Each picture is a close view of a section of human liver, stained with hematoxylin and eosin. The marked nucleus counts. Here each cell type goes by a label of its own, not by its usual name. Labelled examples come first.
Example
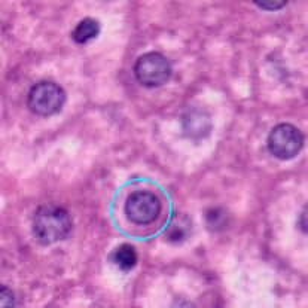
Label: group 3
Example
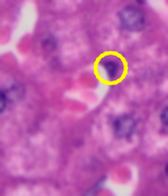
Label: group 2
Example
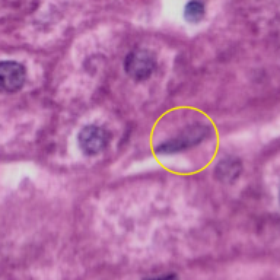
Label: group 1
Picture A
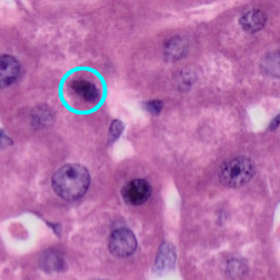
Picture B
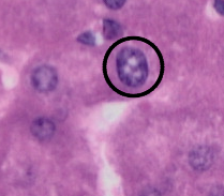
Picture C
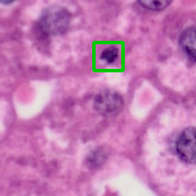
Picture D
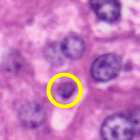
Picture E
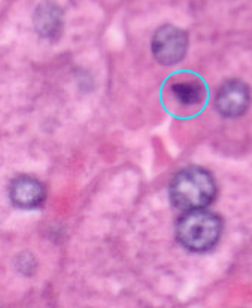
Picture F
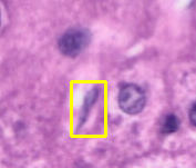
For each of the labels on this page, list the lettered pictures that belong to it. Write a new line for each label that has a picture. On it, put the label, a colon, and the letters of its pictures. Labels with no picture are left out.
group 3: B
group 2: A, C, E
group 1: D, F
